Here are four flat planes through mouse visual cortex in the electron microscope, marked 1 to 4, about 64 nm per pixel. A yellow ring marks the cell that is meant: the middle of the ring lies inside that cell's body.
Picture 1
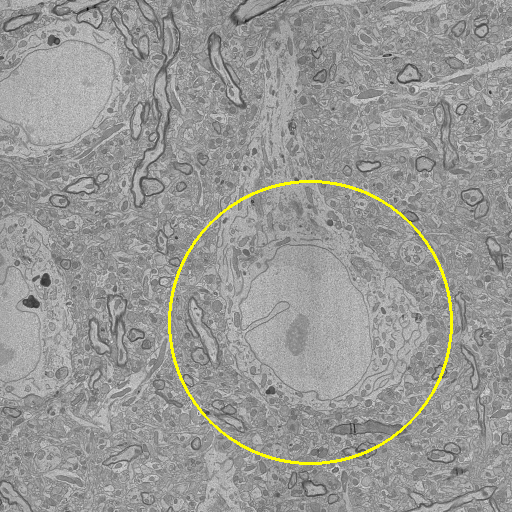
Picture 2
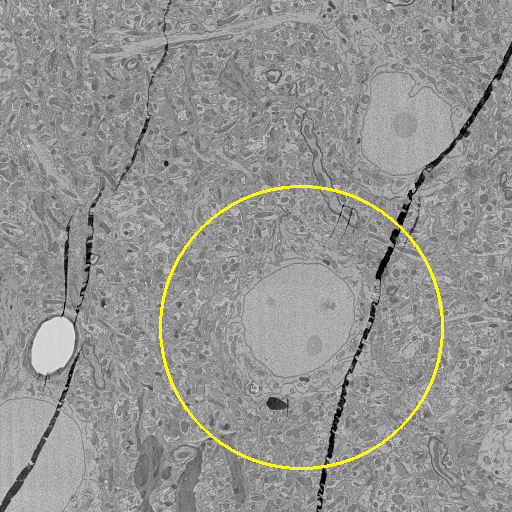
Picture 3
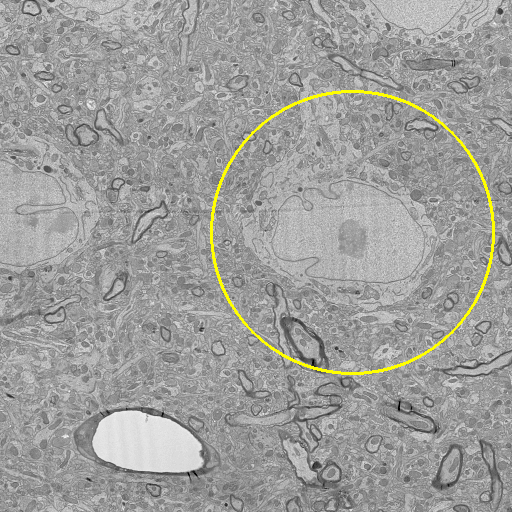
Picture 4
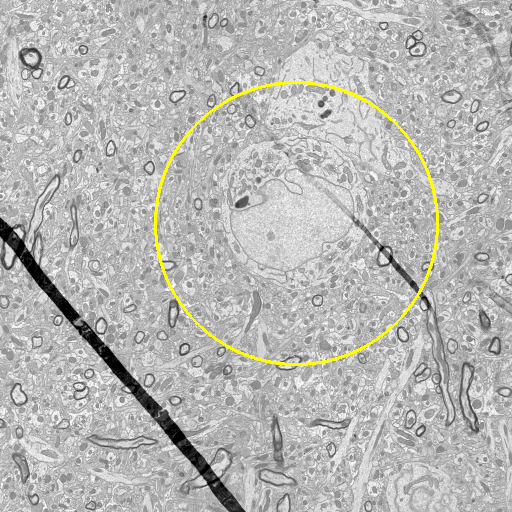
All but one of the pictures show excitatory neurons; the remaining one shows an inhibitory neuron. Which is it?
Picture 4 is the one that shows the inhibitory neuron.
